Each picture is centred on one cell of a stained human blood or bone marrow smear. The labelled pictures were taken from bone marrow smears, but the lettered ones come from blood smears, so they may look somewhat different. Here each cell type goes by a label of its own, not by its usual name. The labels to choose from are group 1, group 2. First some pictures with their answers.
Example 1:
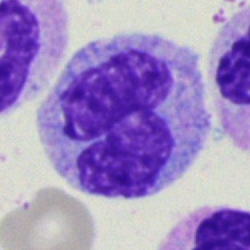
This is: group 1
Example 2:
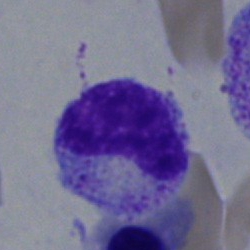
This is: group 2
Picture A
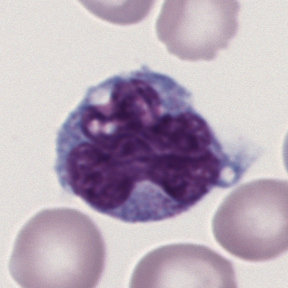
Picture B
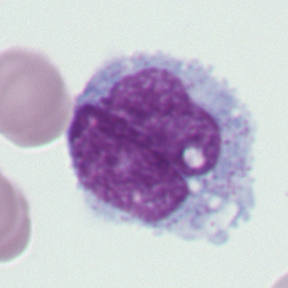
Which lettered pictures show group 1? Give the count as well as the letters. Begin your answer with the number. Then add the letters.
Count: 2 (A, B)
